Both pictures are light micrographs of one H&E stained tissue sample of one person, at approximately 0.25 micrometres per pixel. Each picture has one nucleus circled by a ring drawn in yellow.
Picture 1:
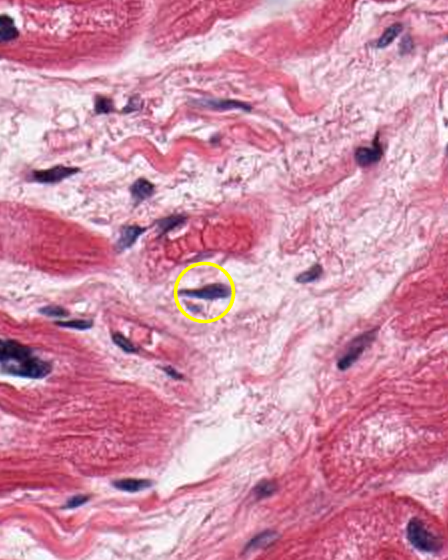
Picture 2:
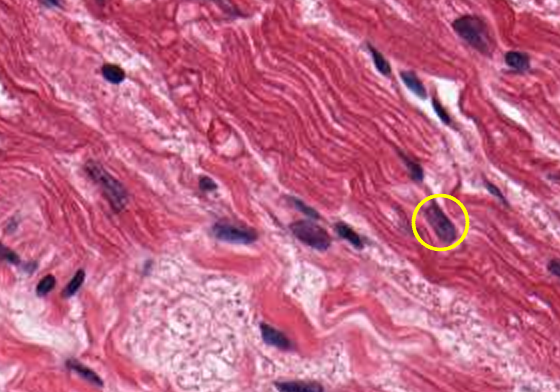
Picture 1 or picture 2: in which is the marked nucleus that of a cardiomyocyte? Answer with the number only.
2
